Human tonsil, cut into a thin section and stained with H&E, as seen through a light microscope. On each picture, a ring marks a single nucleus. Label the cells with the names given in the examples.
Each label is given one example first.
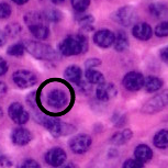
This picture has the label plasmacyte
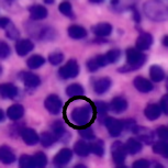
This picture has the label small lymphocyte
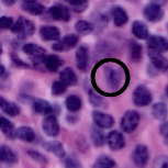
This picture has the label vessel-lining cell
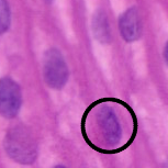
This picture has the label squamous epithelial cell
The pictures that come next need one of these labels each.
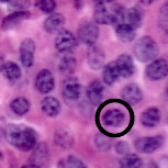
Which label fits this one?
plasmacyte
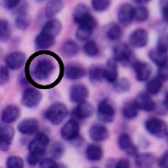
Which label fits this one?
small lymphocyte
